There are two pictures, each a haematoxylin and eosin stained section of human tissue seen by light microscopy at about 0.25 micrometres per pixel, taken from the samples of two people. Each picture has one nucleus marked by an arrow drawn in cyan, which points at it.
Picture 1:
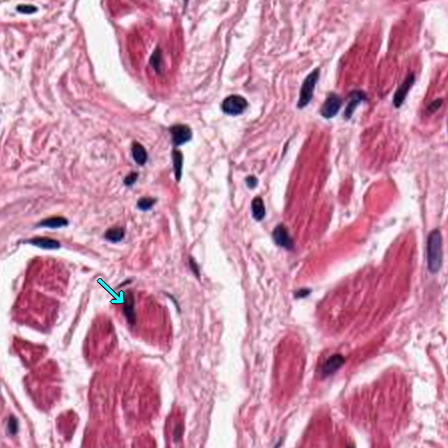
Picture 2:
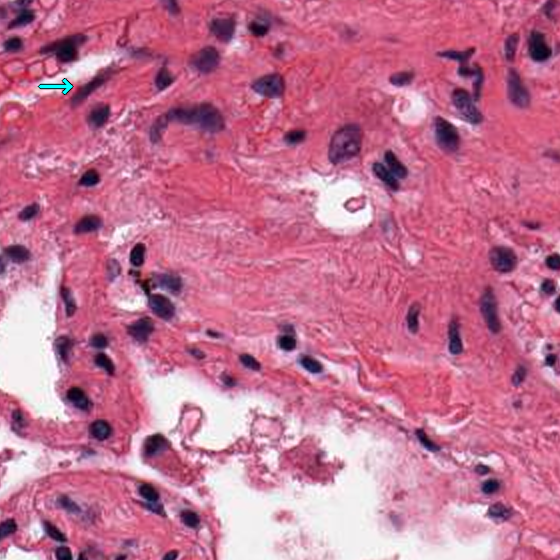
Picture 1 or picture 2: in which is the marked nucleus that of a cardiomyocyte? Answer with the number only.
1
